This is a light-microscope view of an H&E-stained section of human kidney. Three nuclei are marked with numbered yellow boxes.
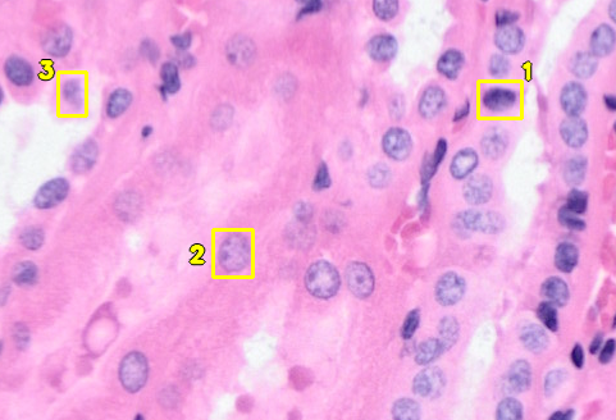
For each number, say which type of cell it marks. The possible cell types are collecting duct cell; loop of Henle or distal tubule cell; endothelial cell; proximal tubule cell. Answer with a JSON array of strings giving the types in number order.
["collecting duct cell", "proximal tubule cell", "loop of Henle or distal tubule cell"]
